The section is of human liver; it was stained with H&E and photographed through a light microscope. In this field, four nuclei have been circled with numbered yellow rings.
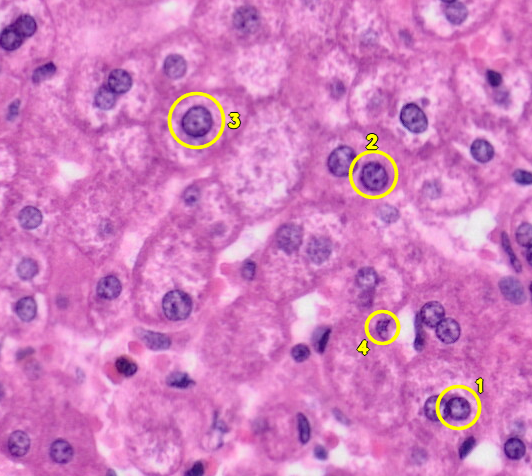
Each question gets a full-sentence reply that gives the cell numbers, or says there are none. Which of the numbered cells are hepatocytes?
On this slide, the cells numbered 1, 2 and 3 are hepatocytes.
